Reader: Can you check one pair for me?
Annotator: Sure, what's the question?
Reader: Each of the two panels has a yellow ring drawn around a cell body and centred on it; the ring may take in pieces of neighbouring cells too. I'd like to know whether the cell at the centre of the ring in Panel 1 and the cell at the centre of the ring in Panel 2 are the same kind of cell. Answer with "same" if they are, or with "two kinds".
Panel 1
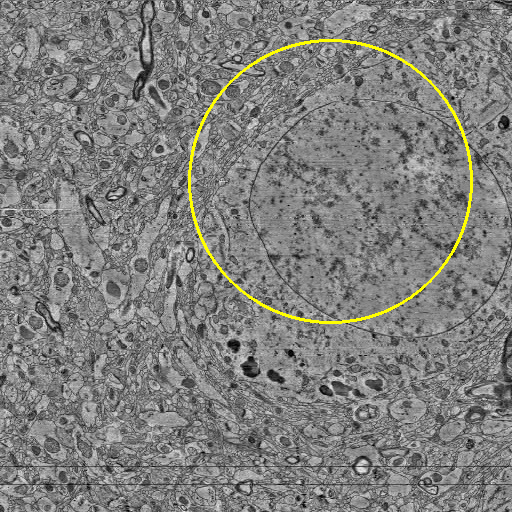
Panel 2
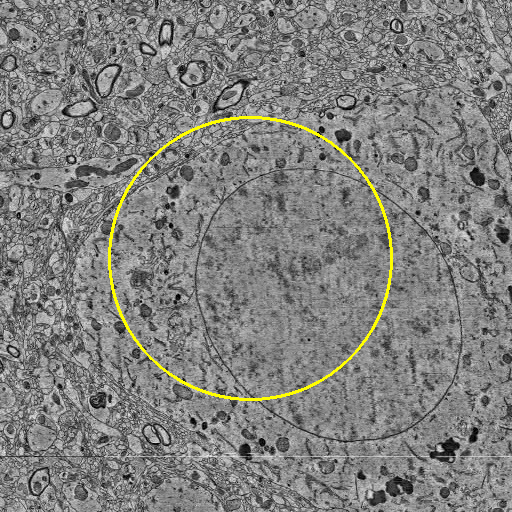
same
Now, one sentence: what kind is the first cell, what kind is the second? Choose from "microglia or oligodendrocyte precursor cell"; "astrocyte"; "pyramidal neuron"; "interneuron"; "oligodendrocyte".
Both the first and the second picture show a pyramidal neuron in the ring.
